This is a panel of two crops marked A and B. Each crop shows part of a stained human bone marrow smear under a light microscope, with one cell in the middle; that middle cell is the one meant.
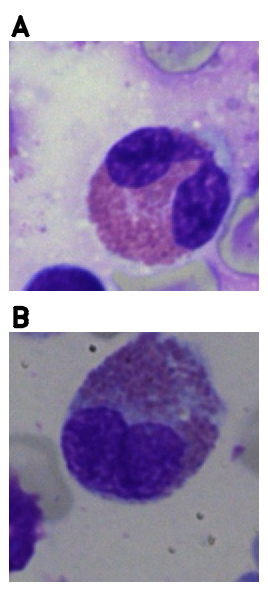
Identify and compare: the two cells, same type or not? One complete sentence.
Yes, both crops are centred on eosinophils.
